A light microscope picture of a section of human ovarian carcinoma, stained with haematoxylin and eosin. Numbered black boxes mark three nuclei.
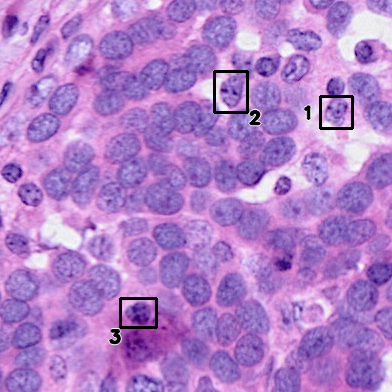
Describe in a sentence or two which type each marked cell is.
Cells 1 and 2 are macrophages or monocytes. Cell 3 is a lymphocyte.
